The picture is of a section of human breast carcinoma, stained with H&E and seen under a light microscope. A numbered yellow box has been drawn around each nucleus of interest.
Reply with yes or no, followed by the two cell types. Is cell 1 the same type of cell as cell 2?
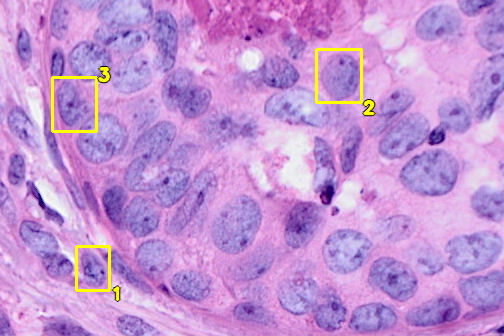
No, cell 1 is an endothelial cell and cell 2 is a carcinoma cell.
